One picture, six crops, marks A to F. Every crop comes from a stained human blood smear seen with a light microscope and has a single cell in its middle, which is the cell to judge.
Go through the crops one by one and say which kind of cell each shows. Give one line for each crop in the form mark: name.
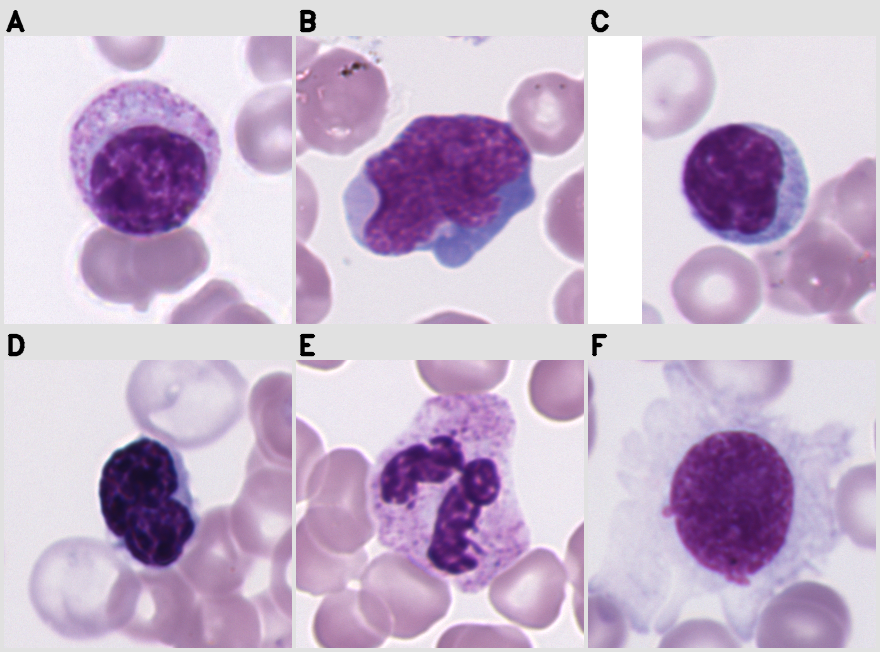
A: myelocyte
B: myeloblast
C: typical lymphocyte
D: normoblast
E: segmented neutrophil
F: hairy cell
